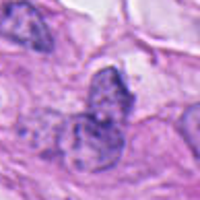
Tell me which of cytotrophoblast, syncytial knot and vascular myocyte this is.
The picture shows a vascular myocyte.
